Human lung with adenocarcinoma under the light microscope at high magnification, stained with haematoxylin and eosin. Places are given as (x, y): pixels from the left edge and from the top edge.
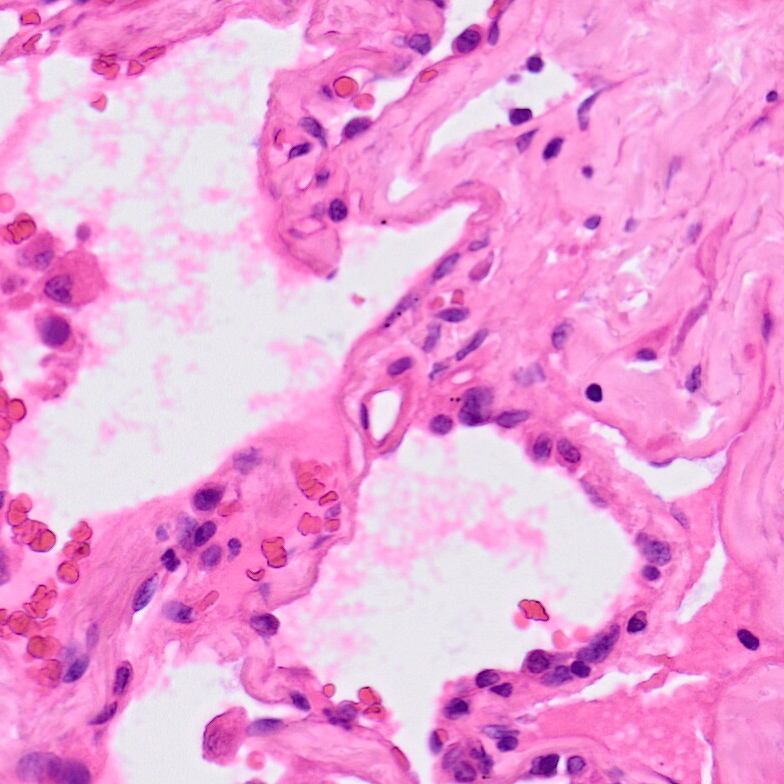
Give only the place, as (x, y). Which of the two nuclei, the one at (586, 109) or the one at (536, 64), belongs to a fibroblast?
(586, 109)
